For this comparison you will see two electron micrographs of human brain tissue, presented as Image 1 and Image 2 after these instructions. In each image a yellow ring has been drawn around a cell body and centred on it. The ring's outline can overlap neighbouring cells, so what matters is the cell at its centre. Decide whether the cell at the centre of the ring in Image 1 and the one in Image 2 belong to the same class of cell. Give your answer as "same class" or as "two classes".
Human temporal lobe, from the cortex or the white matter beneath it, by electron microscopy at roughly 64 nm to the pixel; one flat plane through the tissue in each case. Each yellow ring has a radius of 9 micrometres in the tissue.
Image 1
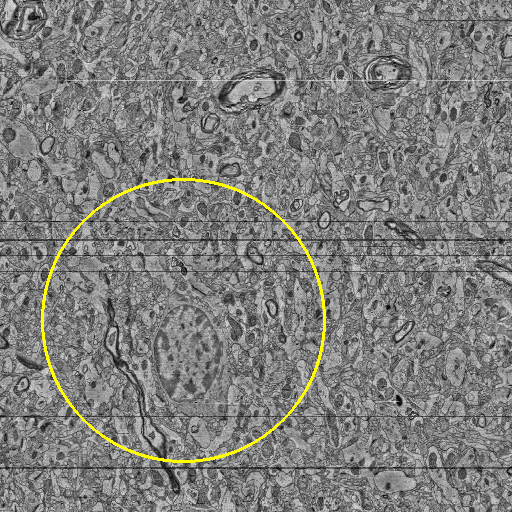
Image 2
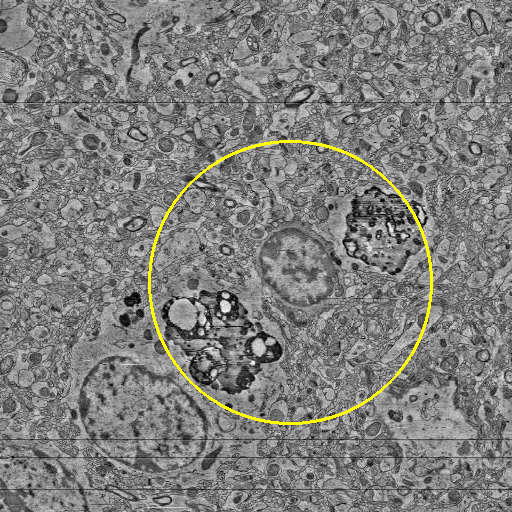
same class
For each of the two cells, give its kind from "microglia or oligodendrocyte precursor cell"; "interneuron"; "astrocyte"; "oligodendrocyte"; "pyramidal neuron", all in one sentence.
The cell at the ring centre is an oligodendrocyte in both pictures.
